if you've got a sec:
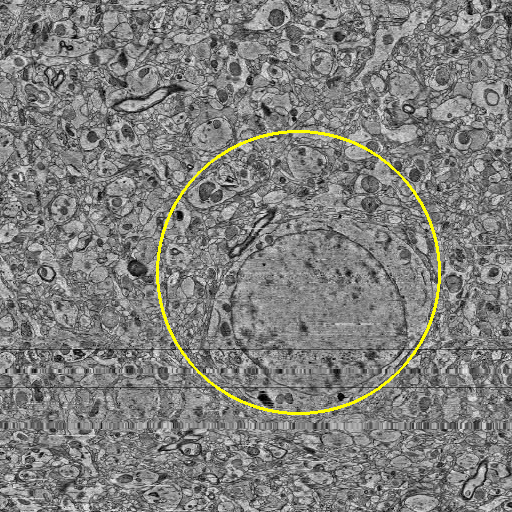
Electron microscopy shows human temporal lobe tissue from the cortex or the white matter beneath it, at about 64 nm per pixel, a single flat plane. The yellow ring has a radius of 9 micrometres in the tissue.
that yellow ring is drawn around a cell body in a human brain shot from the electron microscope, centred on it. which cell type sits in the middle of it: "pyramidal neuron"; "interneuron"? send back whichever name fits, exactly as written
pyramidal neuron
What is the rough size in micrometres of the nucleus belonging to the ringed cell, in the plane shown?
Approximately 11 micrometres across, in this plane.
